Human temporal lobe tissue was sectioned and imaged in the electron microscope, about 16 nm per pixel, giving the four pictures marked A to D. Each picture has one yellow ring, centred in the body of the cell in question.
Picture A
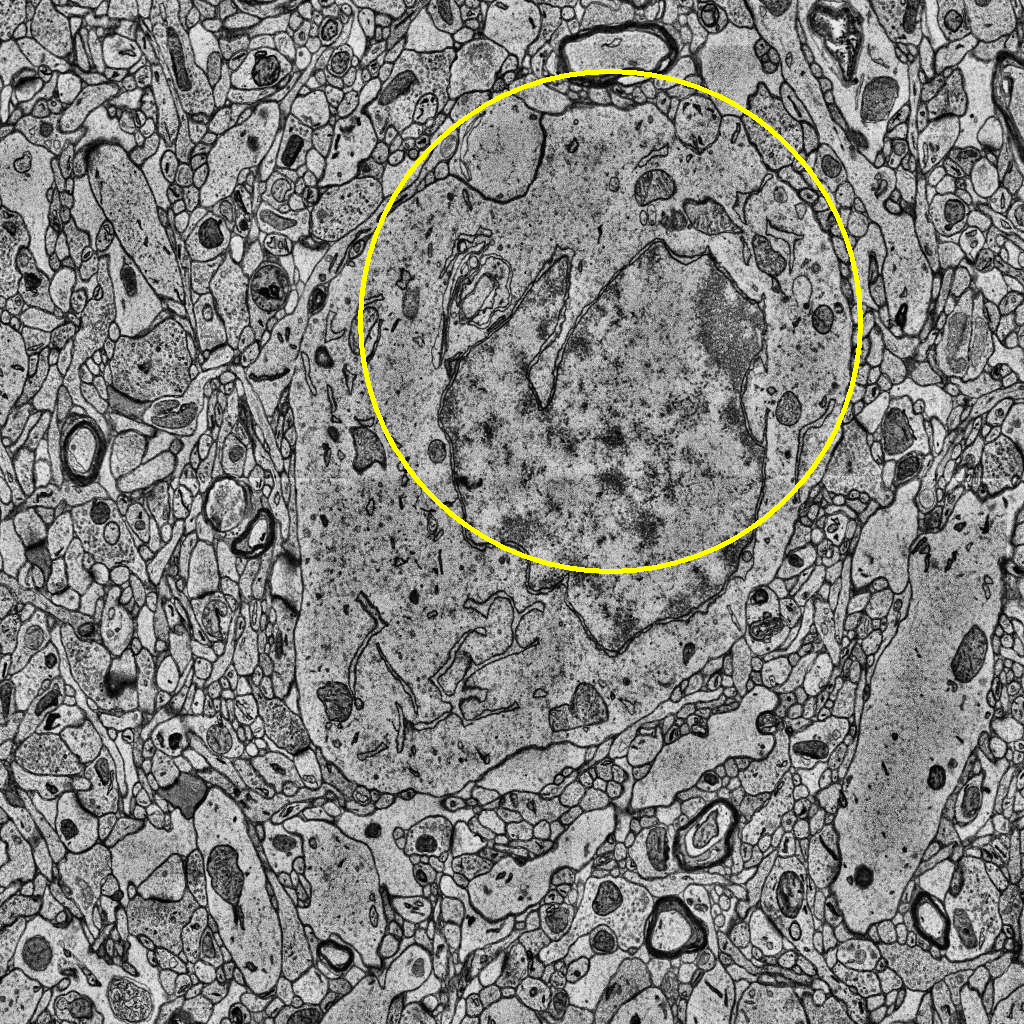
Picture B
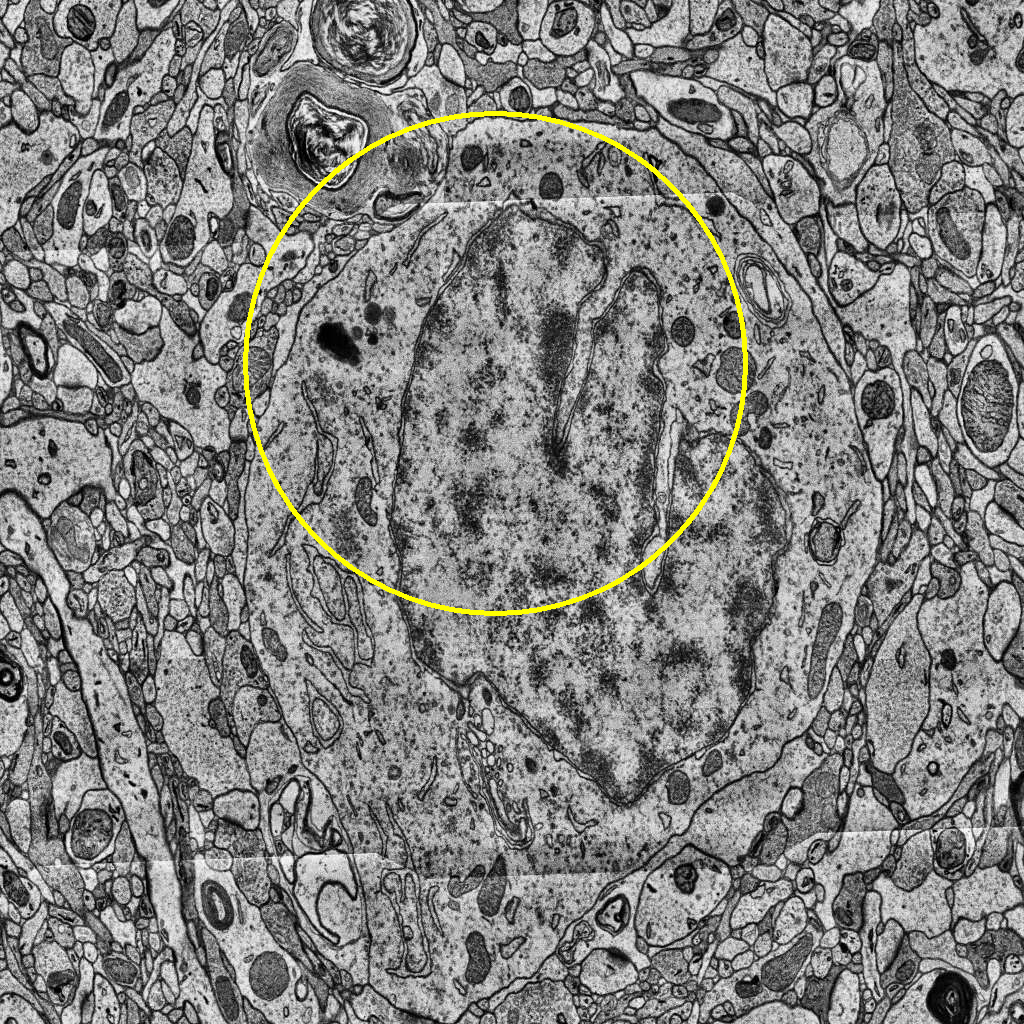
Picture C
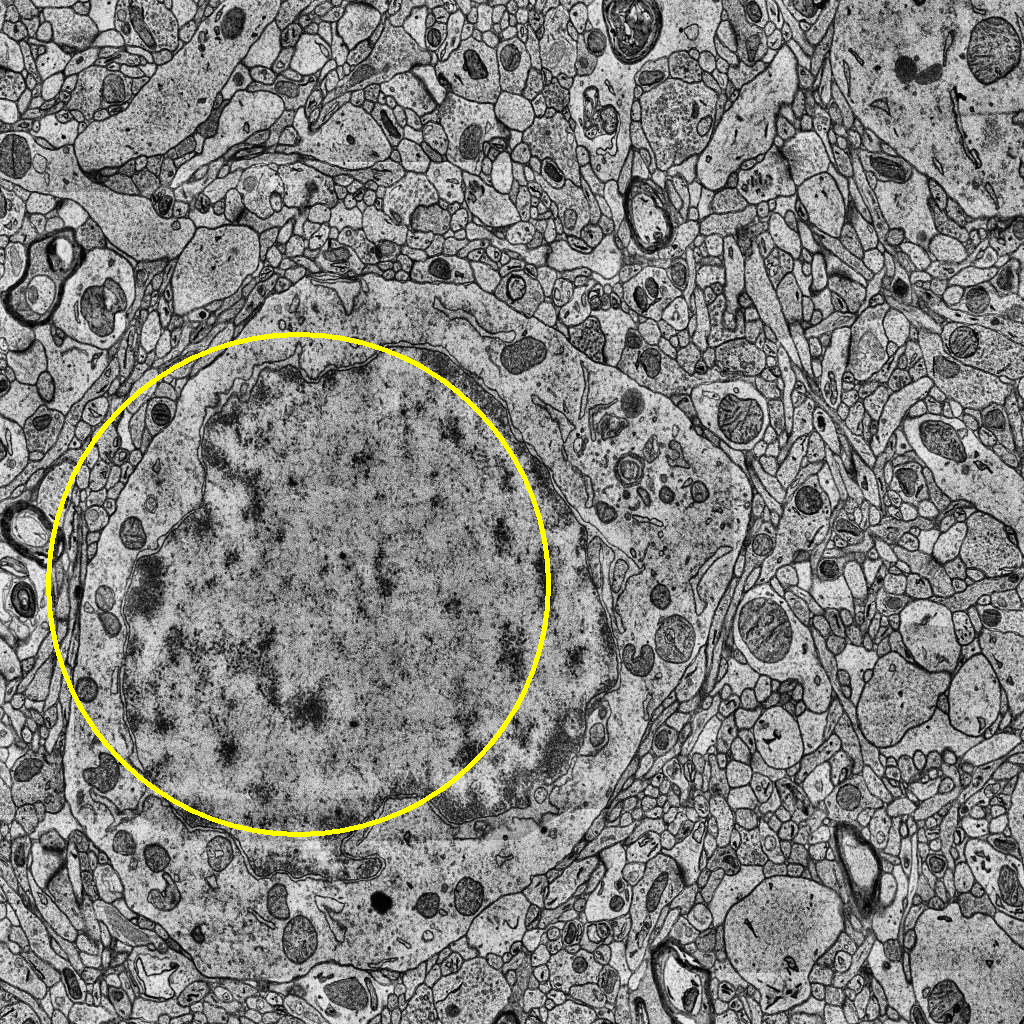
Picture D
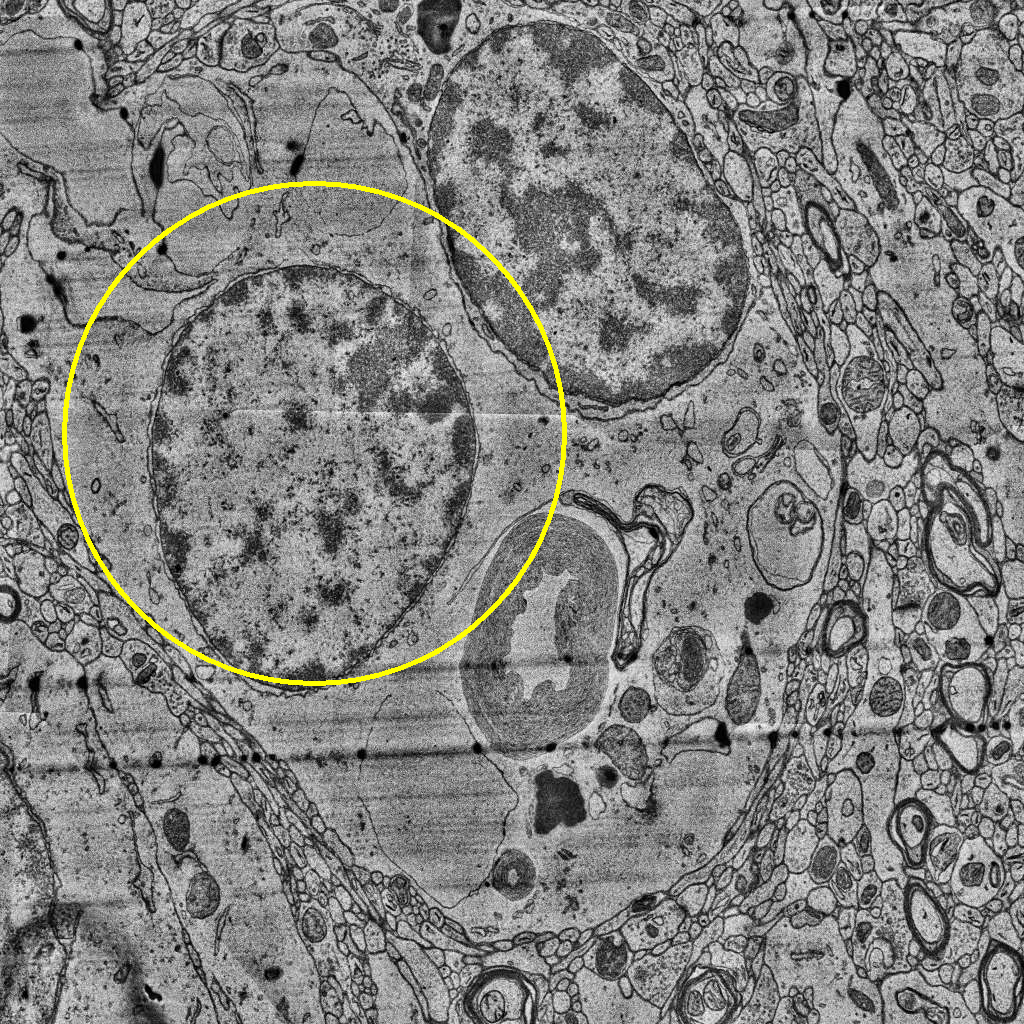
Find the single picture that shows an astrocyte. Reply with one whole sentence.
It is picture D that shows the astrocyte.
